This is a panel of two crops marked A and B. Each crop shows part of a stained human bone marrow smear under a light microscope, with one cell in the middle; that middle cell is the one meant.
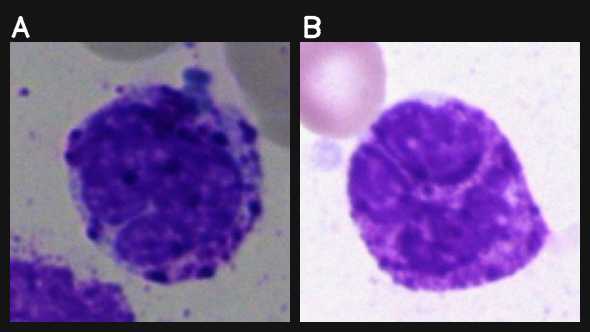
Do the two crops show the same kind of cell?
yes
